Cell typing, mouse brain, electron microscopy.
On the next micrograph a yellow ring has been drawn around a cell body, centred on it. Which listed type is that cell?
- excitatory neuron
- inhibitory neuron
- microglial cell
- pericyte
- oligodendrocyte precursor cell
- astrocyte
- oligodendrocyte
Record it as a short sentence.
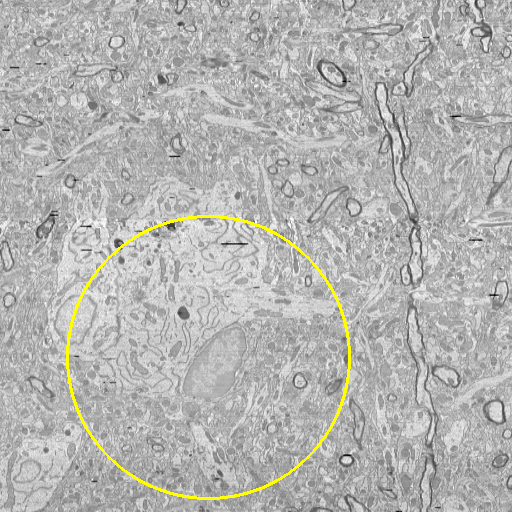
The cell body in the ring's centre belongs to a microglial cell.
